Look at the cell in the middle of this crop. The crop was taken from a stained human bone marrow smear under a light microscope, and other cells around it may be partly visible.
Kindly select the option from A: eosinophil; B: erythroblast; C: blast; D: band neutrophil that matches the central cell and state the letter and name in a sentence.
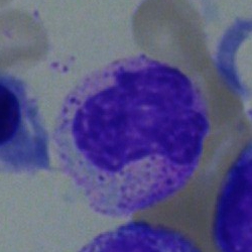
Option D is the correct option, with the middle cell being a band neutrophil.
